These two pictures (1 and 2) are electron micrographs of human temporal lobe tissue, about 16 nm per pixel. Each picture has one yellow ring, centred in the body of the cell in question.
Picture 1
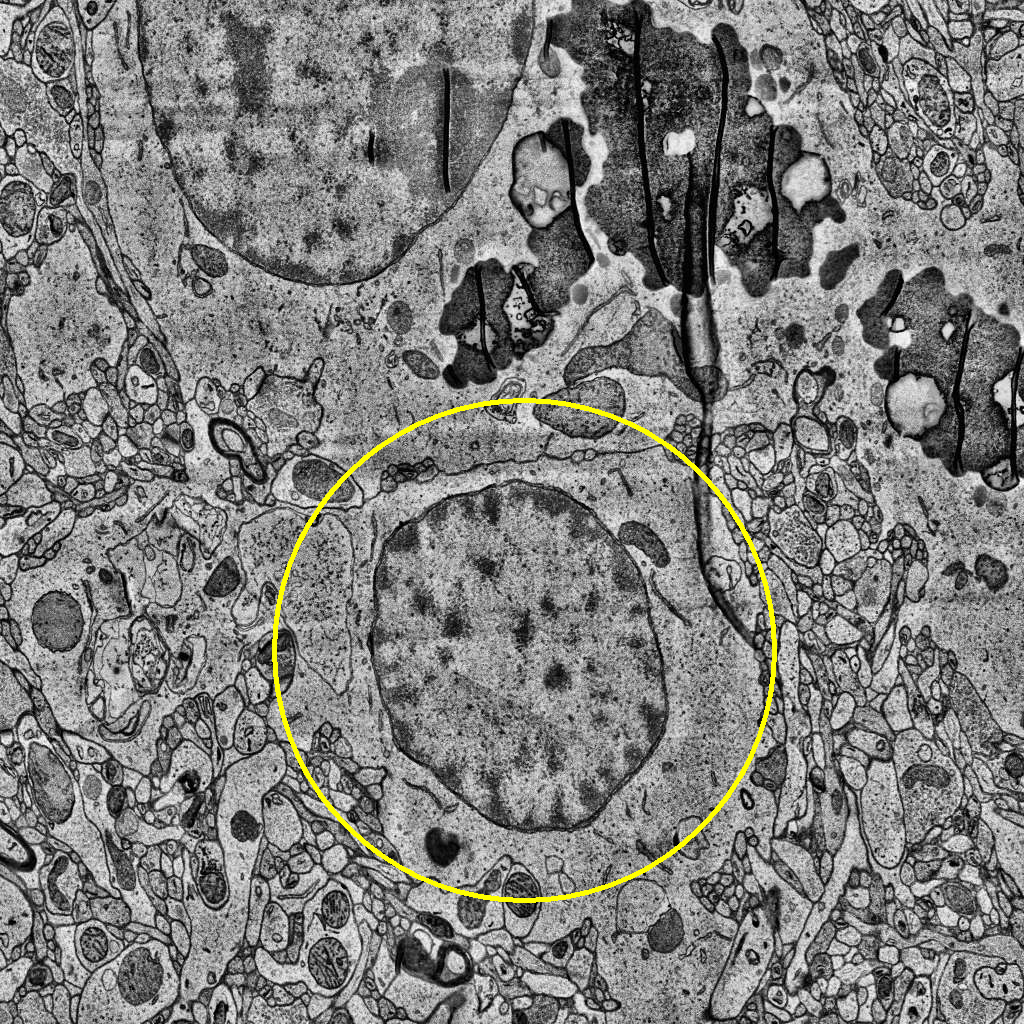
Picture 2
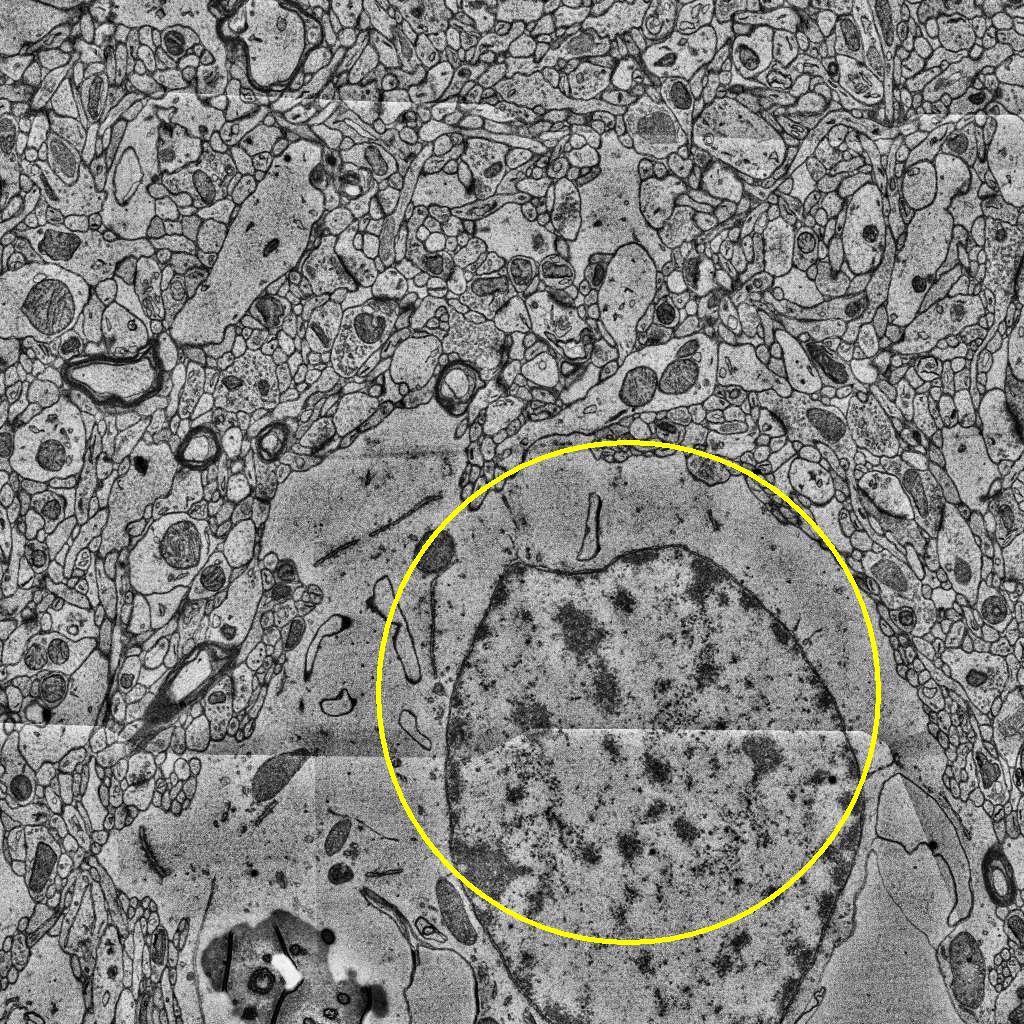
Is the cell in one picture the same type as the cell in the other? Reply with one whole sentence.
Yes; the cells in both pictures are astrocytes.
